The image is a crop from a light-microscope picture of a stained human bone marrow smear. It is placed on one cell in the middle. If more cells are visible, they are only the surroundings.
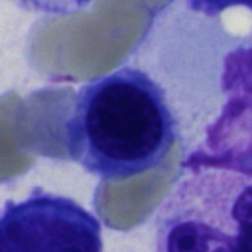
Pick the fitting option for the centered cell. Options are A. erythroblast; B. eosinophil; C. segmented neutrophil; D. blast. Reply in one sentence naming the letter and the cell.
The correct option, A, names the middle cell as an erythroblast.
